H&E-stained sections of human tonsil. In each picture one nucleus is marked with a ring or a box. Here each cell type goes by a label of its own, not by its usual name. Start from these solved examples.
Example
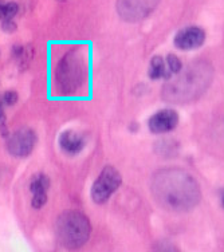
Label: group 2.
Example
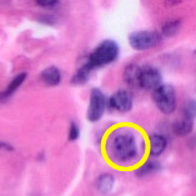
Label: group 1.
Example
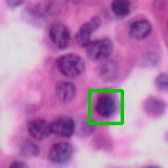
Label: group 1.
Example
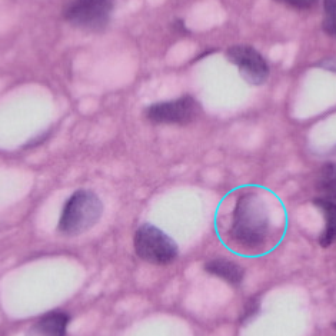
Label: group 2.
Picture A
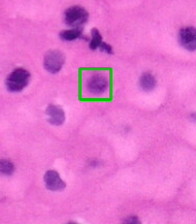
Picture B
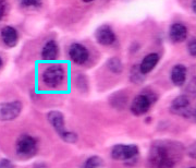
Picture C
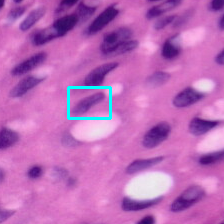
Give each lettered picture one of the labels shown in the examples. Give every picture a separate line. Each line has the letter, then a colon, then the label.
A: group 2.
B: group 1.
C: group 2.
